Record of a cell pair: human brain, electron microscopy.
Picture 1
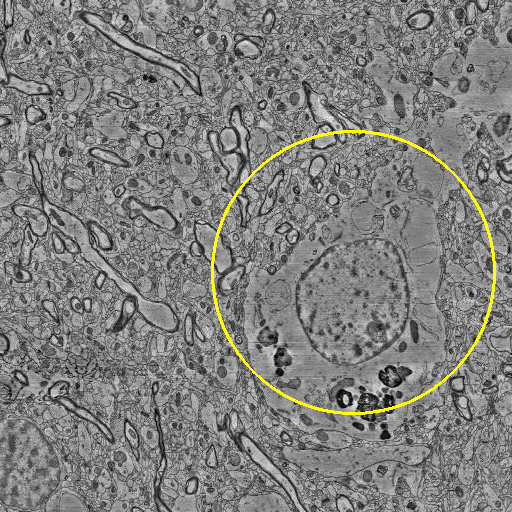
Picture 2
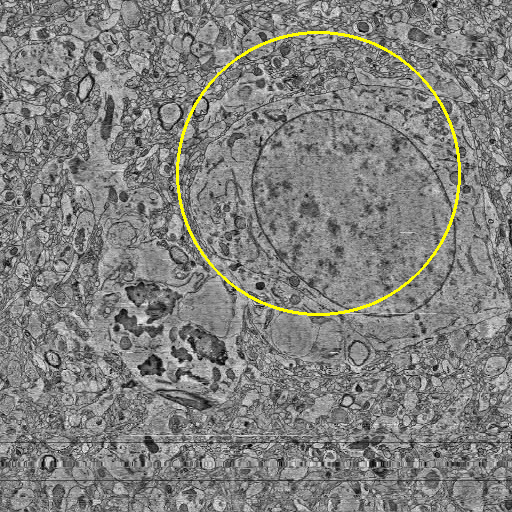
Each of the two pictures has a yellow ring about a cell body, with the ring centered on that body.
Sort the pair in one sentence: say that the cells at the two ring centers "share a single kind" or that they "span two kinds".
The cells centered in the rings of Pictures 1 and 2 span two kinds.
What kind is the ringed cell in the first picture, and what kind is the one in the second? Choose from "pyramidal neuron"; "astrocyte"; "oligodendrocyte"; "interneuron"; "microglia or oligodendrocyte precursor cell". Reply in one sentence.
The first cell is an astrocyte; the second is a pyramidal neuron.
